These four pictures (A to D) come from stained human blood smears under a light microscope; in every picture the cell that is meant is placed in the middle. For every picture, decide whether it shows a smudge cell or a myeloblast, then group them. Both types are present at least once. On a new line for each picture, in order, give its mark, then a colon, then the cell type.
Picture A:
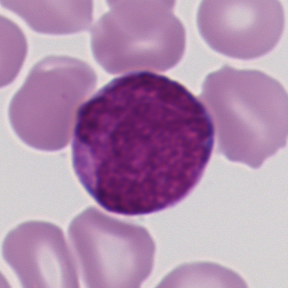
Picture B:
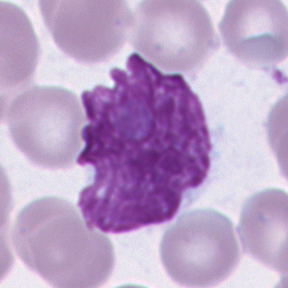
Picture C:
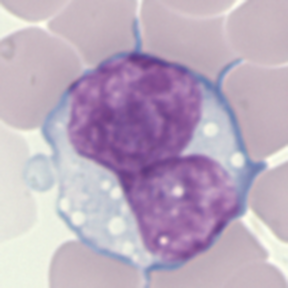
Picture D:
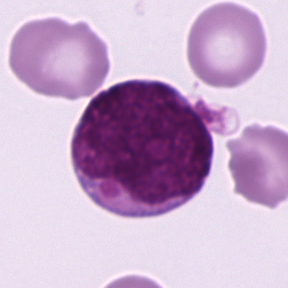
A: myeloblast
B: smudge cell
C: myeloblast
D: myeloblast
